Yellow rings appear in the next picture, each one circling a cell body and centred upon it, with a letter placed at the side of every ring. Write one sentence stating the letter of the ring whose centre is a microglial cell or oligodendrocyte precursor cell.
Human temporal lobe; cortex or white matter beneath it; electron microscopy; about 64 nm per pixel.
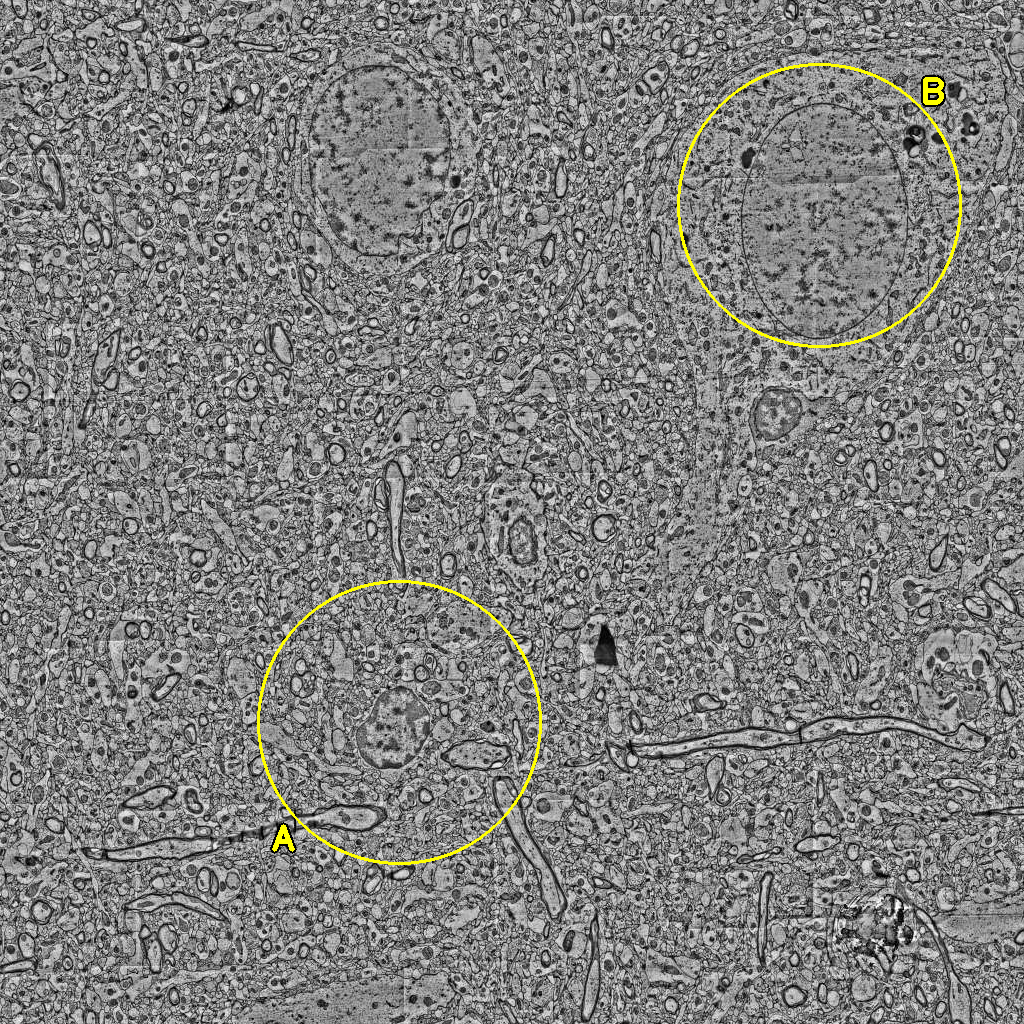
In the picture, the cell asked for lies at the centre of ring A.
